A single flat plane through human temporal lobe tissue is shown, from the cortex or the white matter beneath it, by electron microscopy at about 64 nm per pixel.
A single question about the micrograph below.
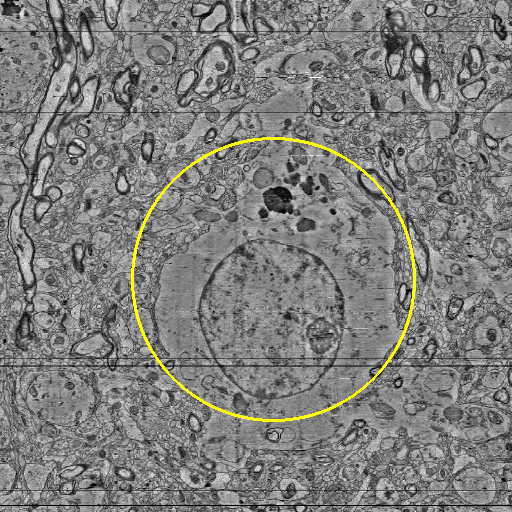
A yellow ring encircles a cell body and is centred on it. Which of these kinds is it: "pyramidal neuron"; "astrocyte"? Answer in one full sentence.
The cell body at the centre of the yellow ring belongs to an astrocyte.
